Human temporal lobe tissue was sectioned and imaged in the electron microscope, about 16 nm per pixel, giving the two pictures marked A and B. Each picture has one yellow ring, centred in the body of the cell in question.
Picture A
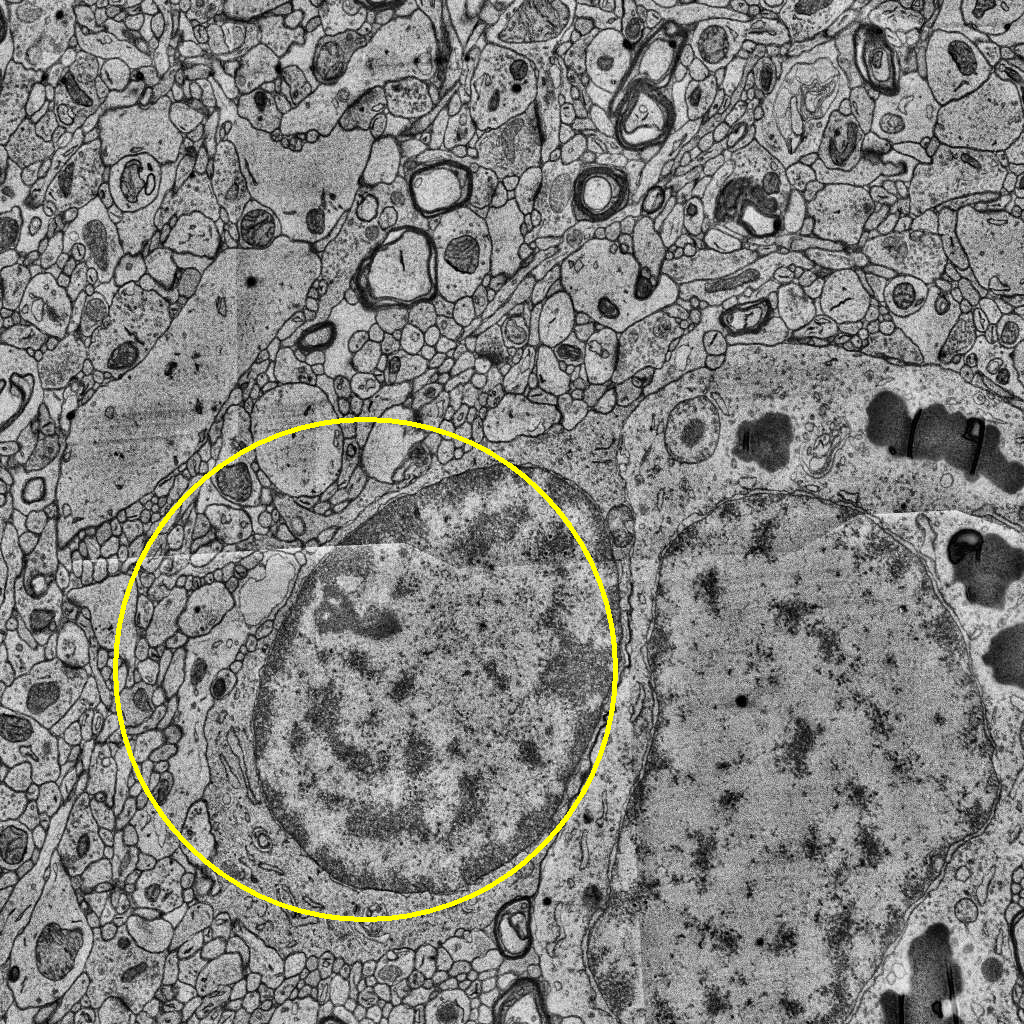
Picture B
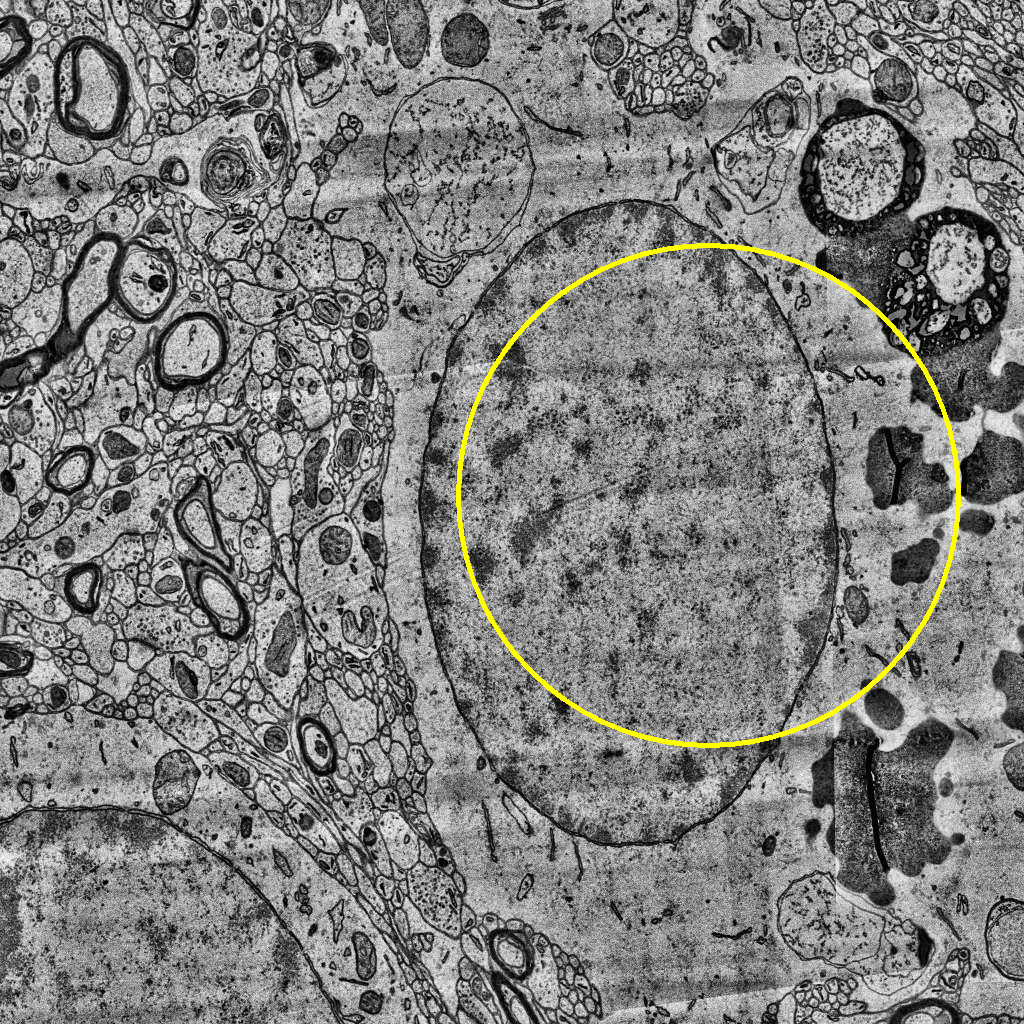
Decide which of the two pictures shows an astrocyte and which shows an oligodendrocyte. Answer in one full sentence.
In picture A the cell is an oligodendrocyte; in picture B, an astrocyte.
